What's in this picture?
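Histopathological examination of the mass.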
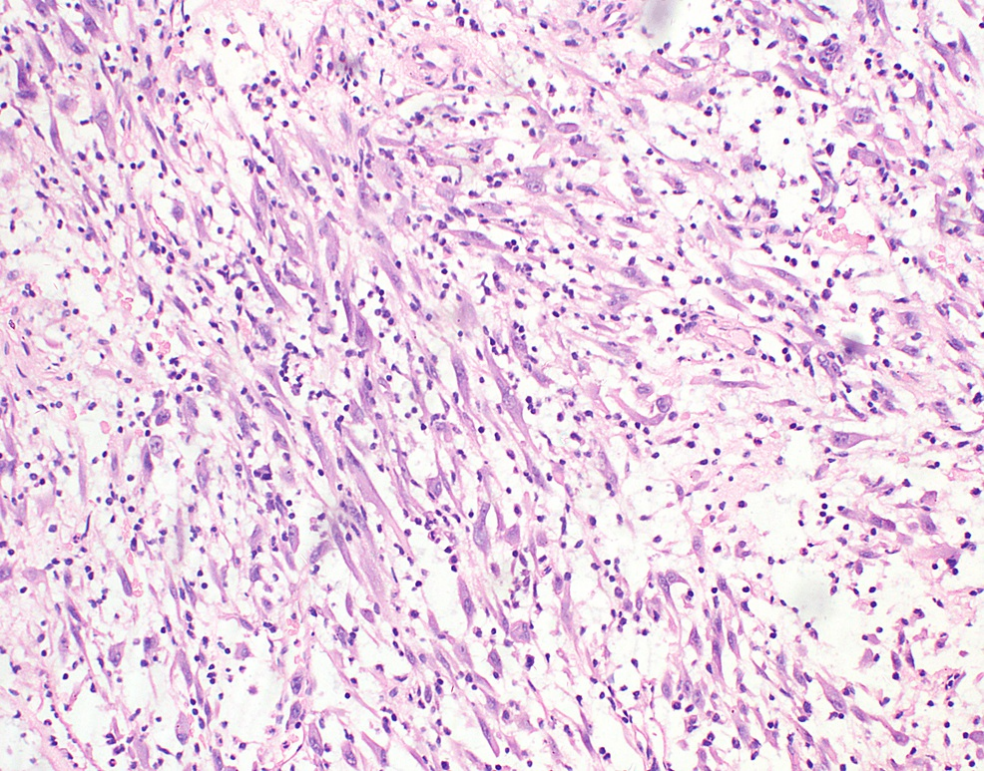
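This is a lesion made up of loosely arranged spindle cells lying in a pale, myxomatous stroma, with scattered inflammatory cells throughout. The spindle cells are elongated, with tapering pink cytoplasm and oval to elongated purple nuclei, and some of them appear plumper. They run in loose, roughly parallel streams, mostly from upper left to lower right. Between them the background is faintly pink, wispy and open, with many clear spaces. Numerous small round cells with dark, dense nuclei and scant cytoplasm are scattered evenly among the spindle cells, in keeping with lymphocytes.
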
